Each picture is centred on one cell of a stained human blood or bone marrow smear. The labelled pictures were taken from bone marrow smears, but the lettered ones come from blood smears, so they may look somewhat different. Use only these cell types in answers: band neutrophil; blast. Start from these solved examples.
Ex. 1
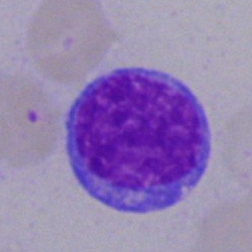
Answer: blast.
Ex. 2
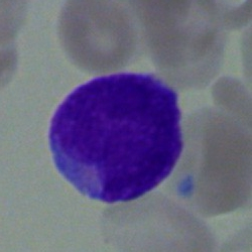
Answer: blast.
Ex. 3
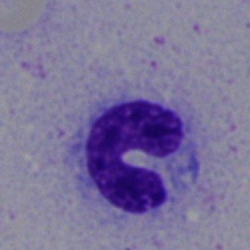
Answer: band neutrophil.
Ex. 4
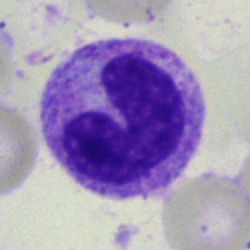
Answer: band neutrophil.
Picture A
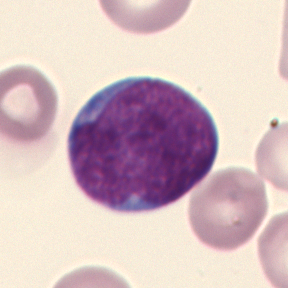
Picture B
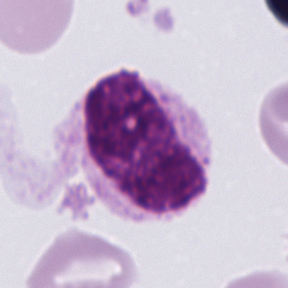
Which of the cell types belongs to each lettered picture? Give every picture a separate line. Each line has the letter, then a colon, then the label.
A: blast.
B: band neutrophil.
